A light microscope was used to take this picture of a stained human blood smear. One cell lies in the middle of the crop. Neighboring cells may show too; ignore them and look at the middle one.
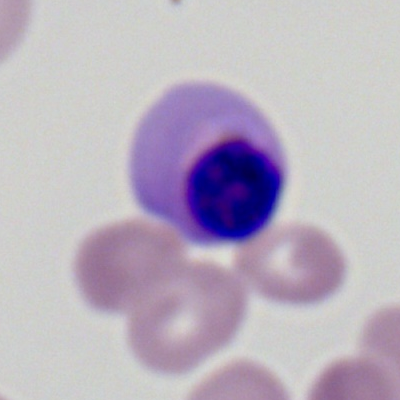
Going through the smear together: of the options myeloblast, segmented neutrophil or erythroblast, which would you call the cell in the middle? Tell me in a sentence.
The cell the crop is centered on is an erythroblast.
